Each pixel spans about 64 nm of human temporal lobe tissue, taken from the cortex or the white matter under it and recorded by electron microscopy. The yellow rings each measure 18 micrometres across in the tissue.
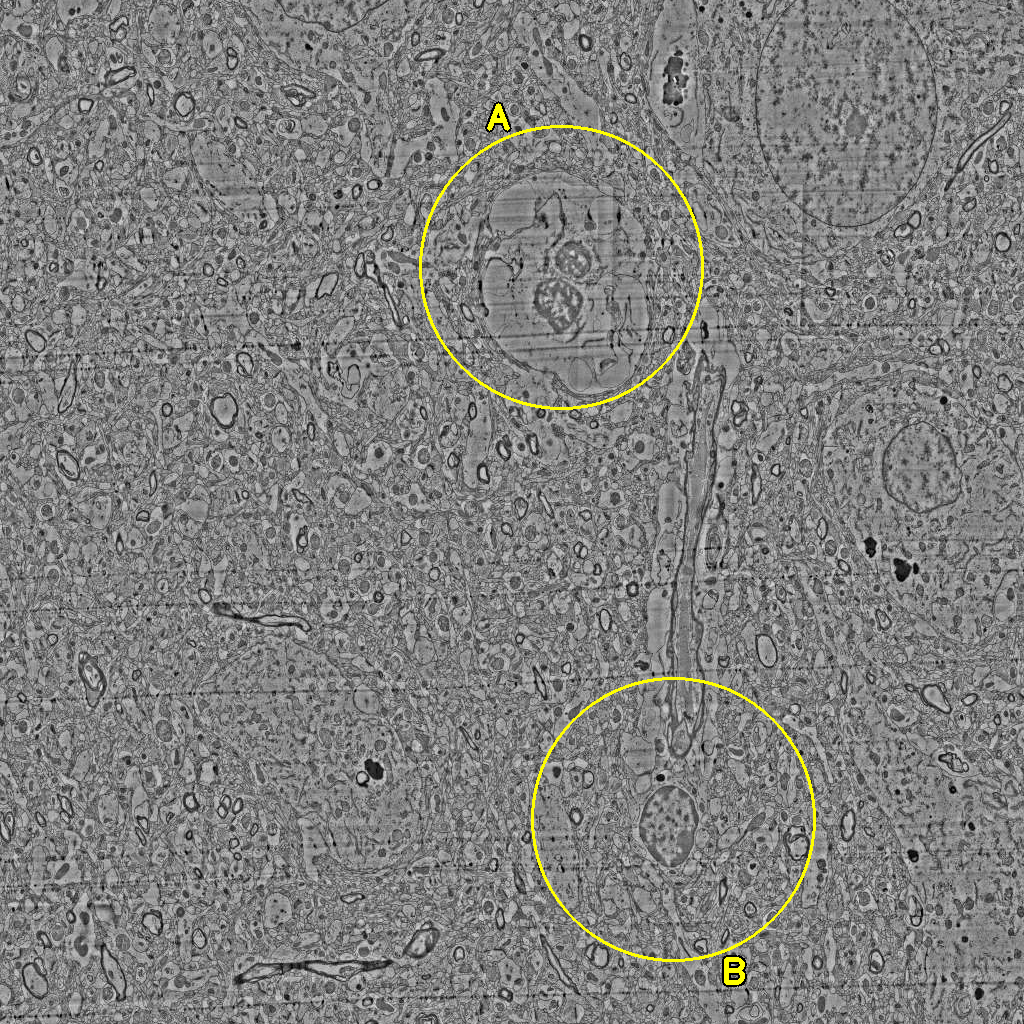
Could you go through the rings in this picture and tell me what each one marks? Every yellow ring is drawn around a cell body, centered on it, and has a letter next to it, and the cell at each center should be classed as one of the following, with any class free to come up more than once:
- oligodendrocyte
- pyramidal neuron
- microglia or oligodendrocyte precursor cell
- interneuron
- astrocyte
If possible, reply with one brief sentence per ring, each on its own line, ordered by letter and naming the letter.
The cell centered in ring A is an astrocyte.
The cell centered in ring B is a microglial cell or oligodendrocyte precursor cell.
